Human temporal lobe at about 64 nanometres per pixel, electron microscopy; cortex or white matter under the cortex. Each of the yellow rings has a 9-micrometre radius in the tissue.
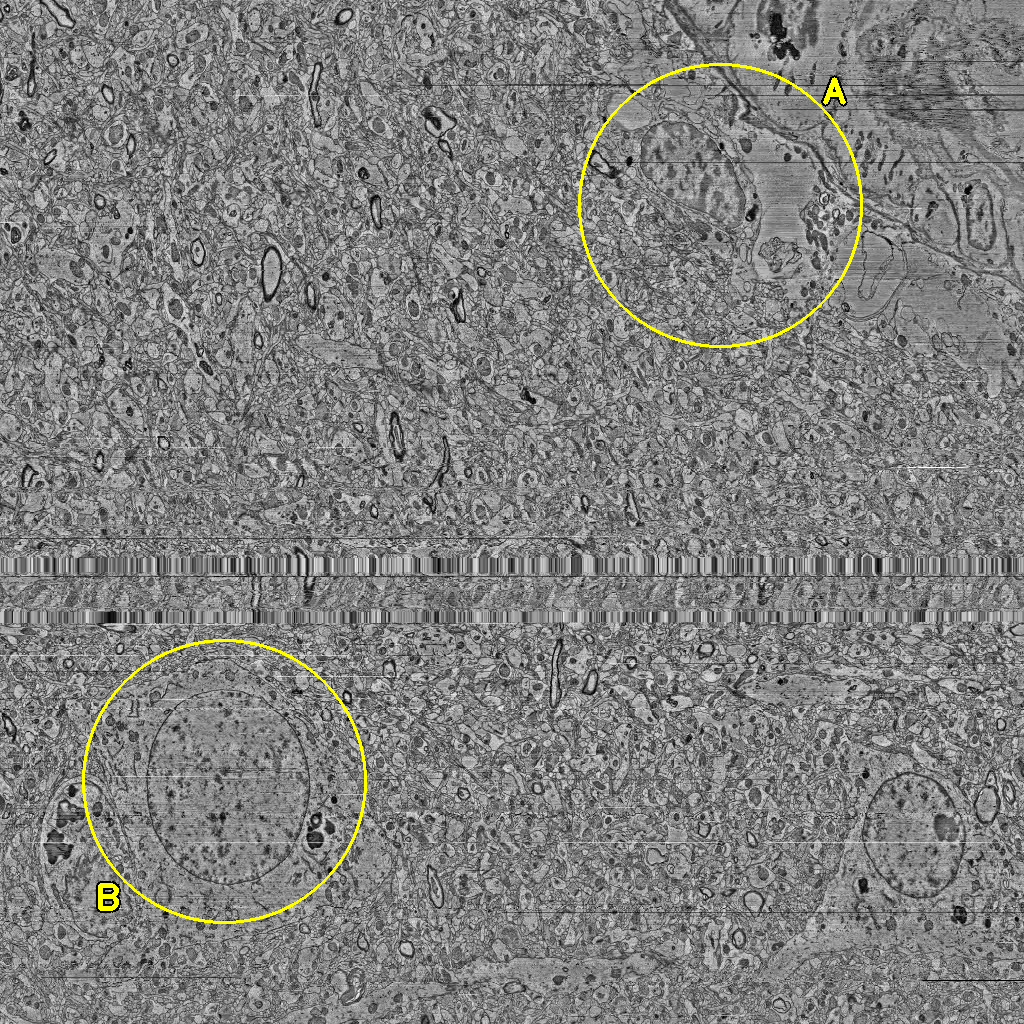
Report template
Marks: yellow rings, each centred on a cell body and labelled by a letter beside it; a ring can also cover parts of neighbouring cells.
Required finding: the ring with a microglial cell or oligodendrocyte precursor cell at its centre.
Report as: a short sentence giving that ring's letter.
Ring A holds that cell at its centre.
